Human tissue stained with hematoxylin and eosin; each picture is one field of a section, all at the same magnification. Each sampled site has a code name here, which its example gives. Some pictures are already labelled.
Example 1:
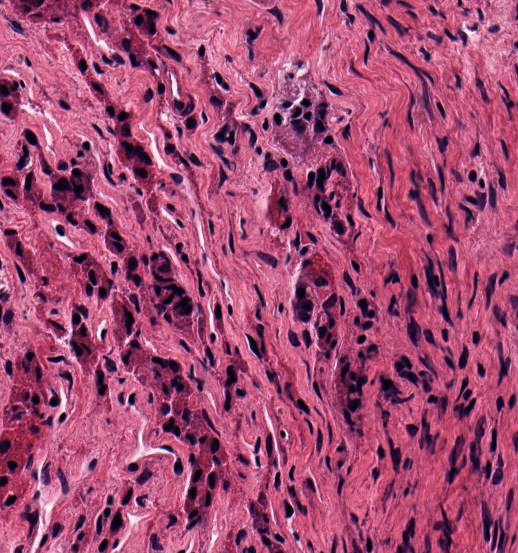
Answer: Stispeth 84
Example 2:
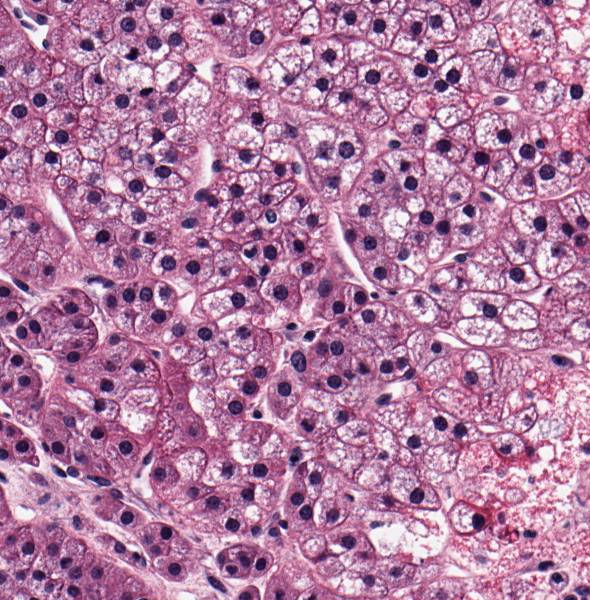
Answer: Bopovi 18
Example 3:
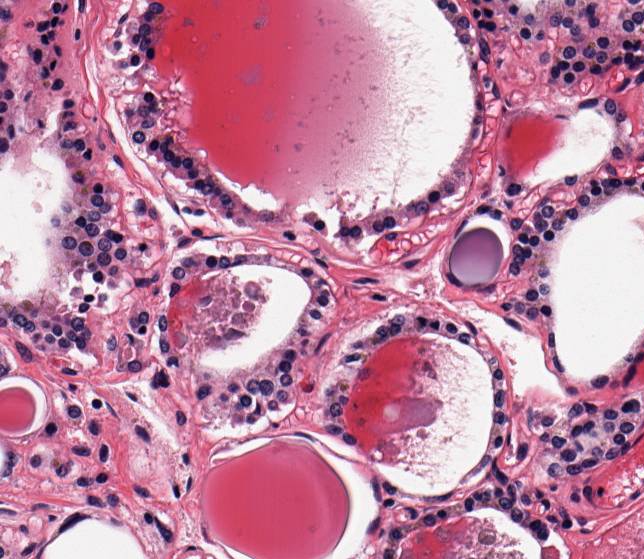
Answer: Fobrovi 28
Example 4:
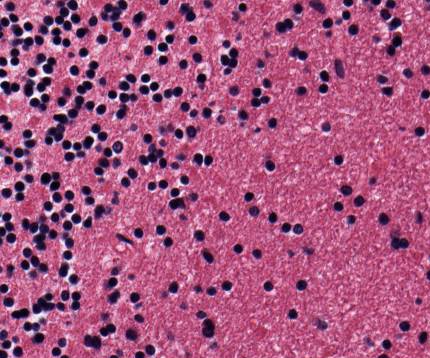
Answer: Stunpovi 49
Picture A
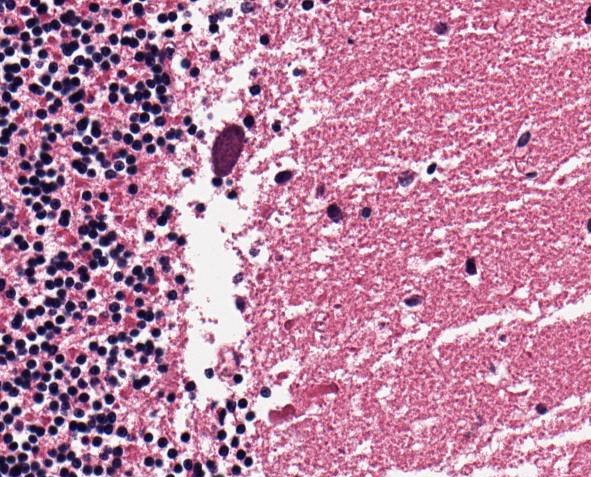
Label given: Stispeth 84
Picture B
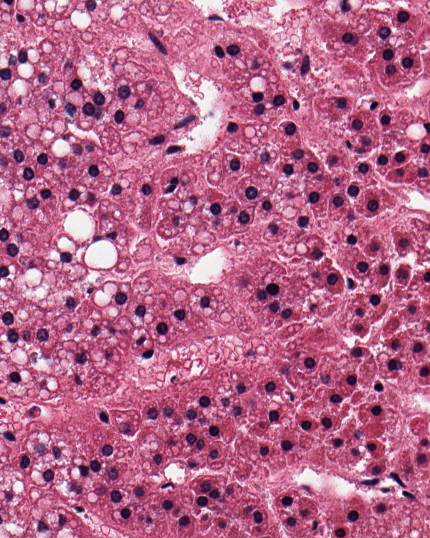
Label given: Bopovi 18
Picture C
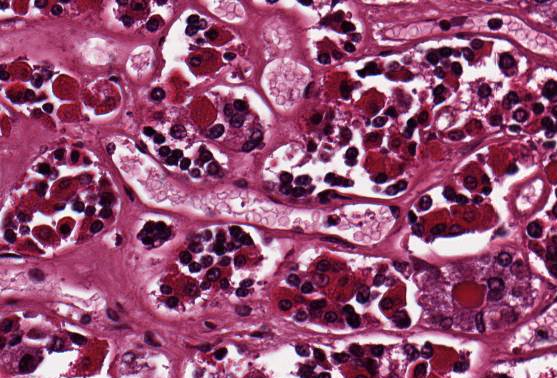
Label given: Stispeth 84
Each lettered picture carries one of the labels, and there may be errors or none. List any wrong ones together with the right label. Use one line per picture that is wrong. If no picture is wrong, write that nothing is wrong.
A: change Stispeth 84 to Stunpovi 49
